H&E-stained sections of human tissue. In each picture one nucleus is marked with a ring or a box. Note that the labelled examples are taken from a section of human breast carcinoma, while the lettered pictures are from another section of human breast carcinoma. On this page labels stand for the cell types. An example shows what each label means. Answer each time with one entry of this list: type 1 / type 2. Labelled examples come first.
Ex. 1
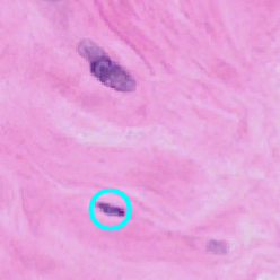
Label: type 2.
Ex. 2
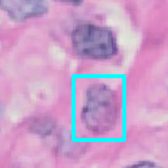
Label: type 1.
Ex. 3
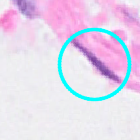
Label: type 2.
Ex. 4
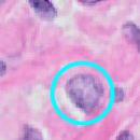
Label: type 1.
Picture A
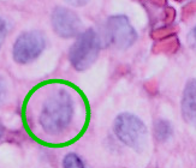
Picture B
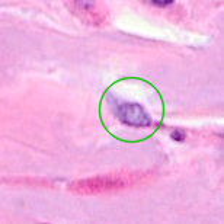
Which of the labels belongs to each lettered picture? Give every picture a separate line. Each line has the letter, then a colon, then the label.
A: type 1.
B: type 2.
